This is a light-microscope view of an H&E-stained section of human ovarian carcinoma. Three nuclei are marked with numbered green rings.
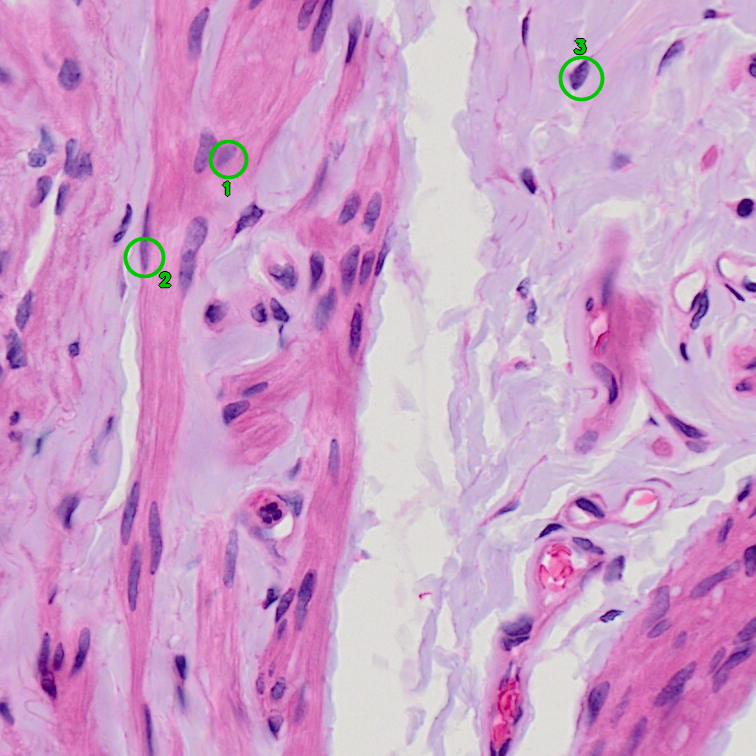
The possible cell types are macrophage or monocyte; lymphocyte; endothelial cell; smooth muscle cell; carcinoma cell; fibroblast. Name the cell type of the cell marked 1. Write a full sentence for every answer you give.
The marked nucleus 1 is that of a smooth muscle cell.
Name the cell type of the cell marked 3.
The cell that carries the label 3 is a fibroblast.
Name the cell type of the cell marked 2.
The cell to which the number 2 is assigned is a smooth muscle cell.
